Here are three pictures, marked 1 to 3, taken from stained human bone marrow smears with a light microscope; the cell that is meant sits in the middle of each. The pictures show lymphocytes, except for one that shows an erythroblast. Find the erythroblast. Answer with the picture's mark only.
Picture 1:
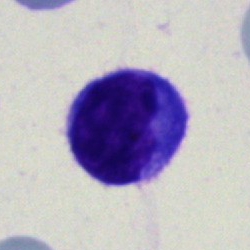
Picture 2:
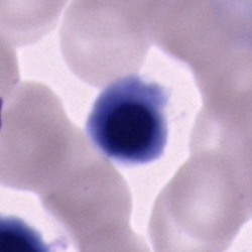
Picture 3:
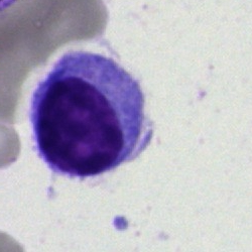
2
